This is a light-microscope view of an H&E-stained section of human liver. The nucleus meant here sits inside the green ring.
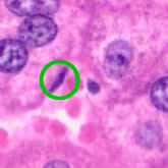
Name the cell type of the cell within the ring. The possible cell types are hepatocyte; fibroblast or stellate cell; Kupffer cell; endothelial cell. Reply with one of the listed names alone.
endothelial cell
